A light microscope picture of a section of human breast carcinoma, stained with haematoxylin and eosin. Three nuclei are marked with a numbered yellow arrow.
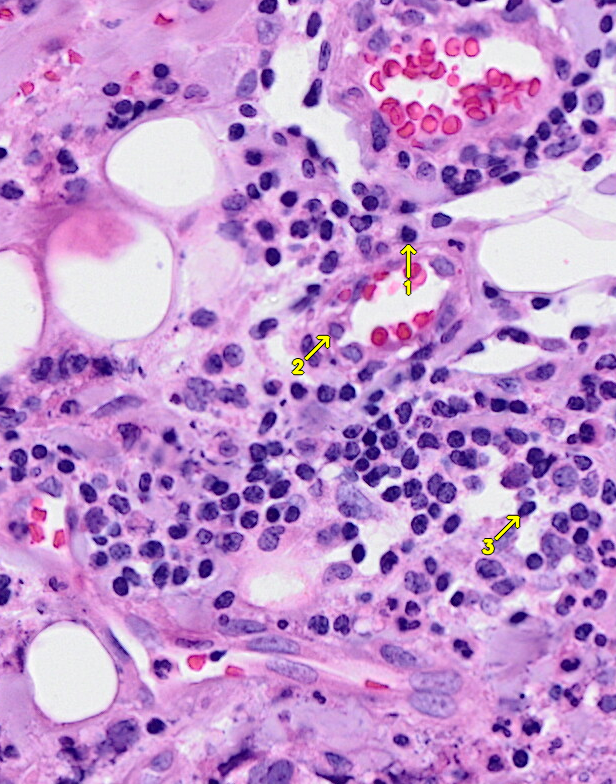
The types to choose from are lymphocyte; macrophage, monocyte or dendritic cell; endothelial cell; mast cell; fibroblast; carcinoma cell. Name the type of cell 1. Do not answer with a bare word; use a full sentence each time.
The cell identified by number 1 is a lymphocyte.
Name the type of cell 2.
The cell pointed out by number 2 is an endothelial cell.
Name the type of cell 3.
The cell bearing label 3 corresponds to a lymphocyte.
